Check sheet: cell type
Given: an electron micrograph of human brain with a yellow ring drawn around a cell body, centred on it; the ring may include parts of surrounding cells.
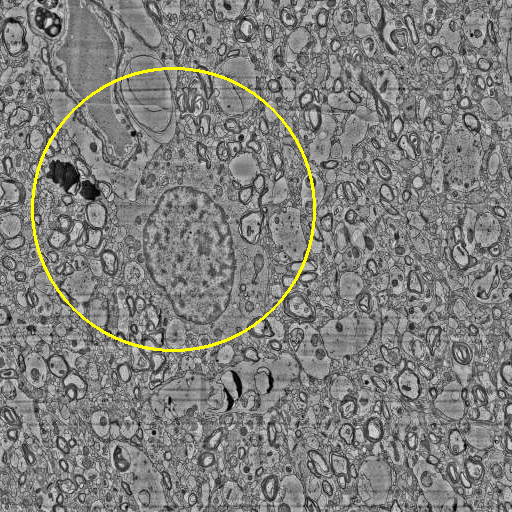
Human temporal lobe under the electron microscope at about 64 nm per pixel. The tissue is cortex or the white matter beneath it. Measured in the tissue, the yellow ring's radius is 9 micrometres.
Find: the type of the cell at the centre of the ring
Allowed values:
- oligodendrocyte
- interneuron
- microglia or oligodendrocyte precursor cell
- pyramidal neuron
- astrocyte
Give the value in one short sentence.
Here the ringed cell is an oligodendrocyte.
